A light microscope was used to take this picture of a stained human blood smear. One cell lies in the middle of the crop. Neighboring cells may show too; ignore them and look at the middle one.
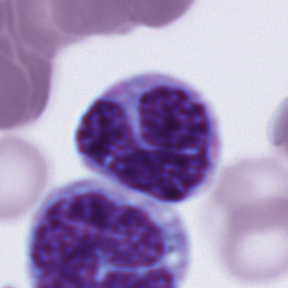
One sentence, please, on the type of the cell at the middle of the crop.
In the center of this field lies a monocyte.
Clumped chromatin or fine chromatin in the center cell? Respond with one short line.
The chromatin pattern here is coarse and clumped.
